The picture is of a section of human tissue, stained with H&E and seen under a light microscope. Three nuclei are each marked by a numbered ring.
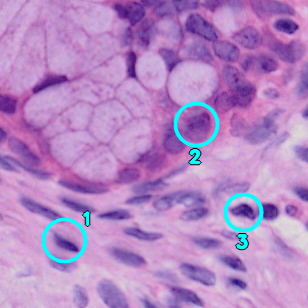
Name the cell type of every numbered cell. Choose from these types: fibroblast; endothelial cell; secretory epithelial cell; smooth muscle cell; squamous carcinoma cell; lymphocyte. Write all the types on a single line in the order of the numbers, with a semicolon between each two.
fibroblast; secretory epithelial cell; lymphocyte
